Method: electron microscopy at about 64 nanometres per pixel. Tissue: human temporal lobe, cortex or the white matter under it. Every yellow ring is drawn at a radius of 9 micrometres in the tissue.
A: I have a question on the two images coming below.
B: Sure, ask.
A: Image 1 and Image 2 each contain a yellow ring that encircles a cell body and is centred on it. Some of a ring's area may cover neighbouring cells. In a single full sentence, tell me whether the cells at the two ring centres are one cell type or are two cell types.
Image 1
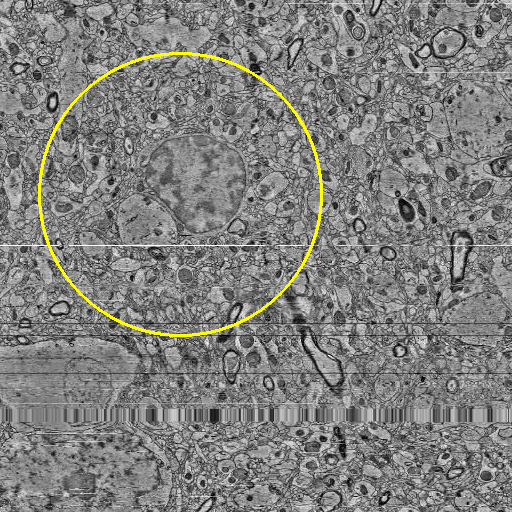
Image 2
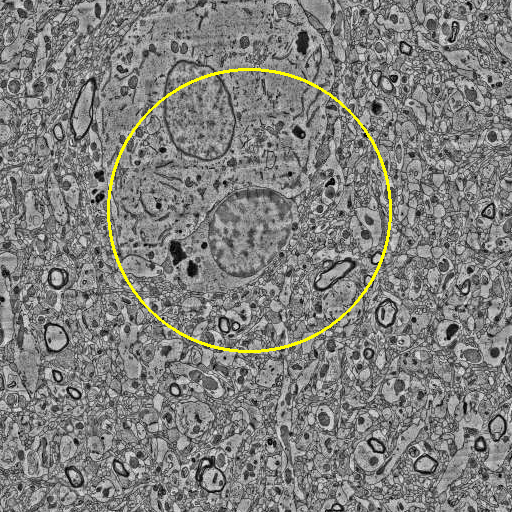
As for the ring-centre cells, the one in Image 1 and the one in Image 2 are one cell type.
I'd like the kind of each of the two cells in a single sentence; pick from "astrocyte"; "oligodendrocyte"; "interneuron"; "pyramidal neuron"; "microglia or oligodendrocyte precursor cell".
Both pictures show an oligodendrocyte at the centre of the ring.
